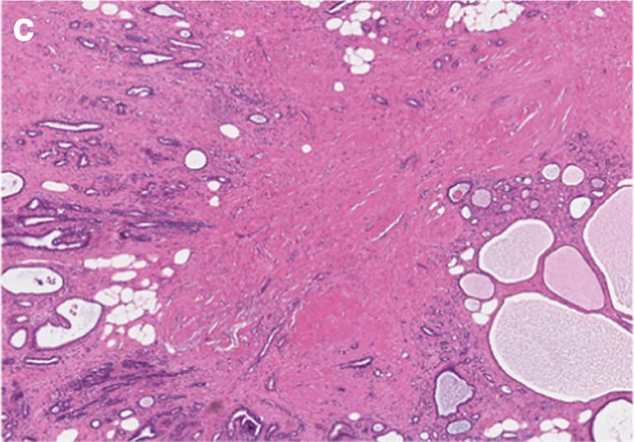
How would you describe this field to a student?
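This is a low-power view of breast tissue with a dense, pale pink fibrous core in the middle, from which bands of stroma spread outward. Small, compressed and angulated glands are caught within and along the edges of this fibrous centre. Around it lie ducts and glands of varying size, several dilated into round cysts filled with pale pink material, together with scattered clear fat cells.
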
